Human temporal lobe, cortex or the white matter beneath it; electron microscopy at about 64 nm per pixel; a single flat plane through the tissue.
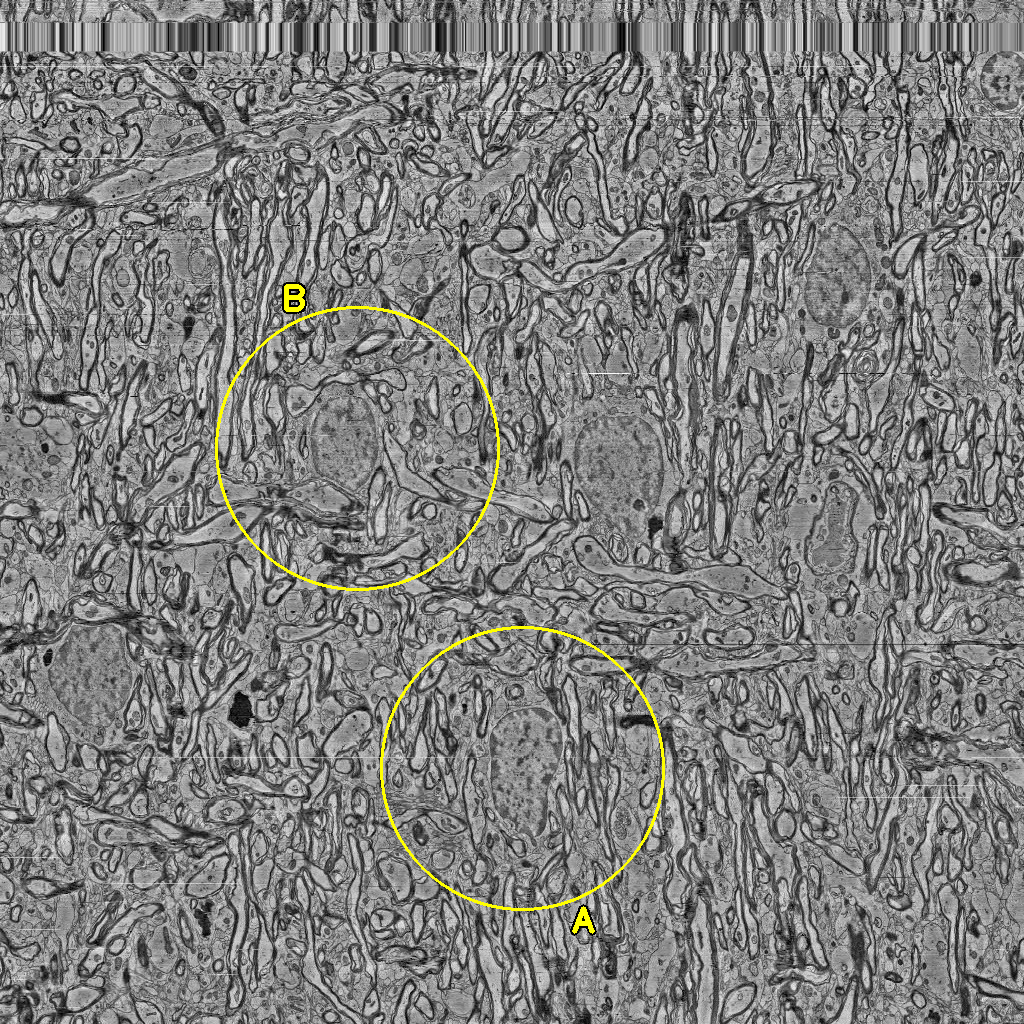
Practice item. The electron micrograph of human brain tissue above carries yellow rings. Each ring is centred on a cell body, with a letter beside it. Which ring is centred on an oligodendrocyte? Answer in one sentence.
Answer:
Ring B is centred on it.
